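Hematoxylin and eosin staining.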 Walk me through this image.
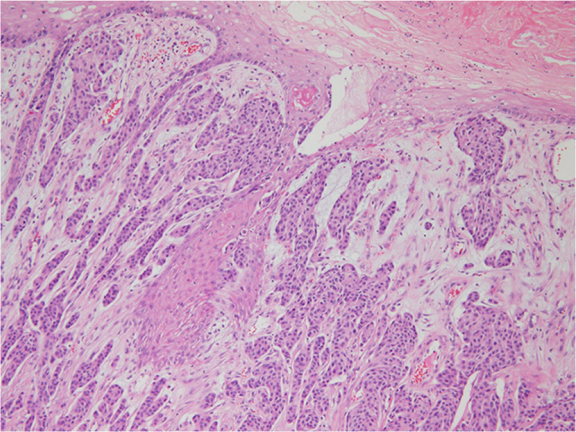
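Skin with single and nested tumor cells arranged within the epidermis and infiltrating into the dermis. The tumor forms irregular purple nests, cords and anastomosing strands of crowded cells with dark nuclei. Pale, loose stroma with small blood vessels separates the nests, and a pink keratin layer is seen at the top.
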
